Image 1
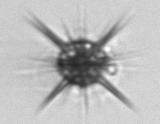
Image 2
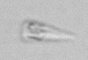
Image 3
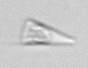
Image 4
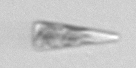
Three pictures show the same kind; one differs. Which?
Picture 1: a radiolarian, while the others are Licmophora.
